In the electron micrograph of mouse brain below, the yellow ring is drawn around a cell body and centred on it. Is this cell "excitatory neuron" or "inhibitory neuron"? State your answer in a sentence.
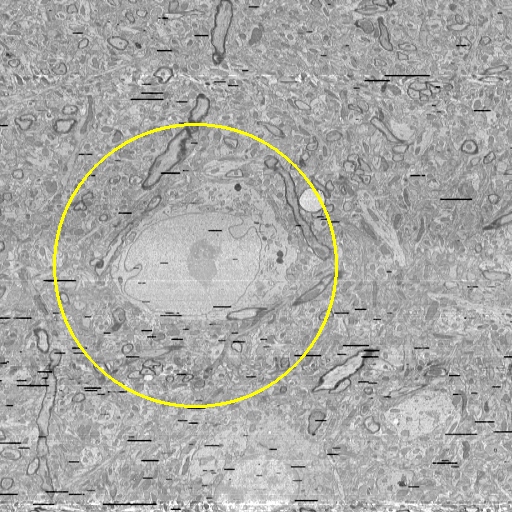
The cell in the middle of the ring is an excitatory neuron.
